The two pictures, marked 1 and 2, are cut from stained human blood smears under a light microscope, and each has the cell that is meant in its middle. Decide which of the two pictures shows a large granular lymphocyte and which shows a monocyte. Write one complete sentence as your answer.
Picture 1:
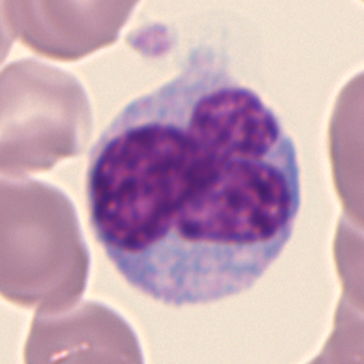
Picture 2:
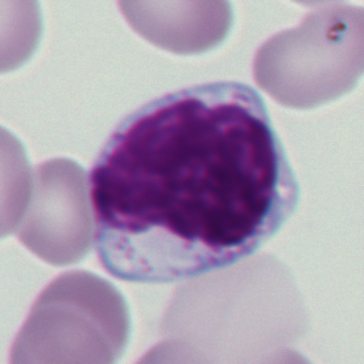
It is picture 1 that shows a monocyte, and picture 2 that shows a large granular lymphocyte.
